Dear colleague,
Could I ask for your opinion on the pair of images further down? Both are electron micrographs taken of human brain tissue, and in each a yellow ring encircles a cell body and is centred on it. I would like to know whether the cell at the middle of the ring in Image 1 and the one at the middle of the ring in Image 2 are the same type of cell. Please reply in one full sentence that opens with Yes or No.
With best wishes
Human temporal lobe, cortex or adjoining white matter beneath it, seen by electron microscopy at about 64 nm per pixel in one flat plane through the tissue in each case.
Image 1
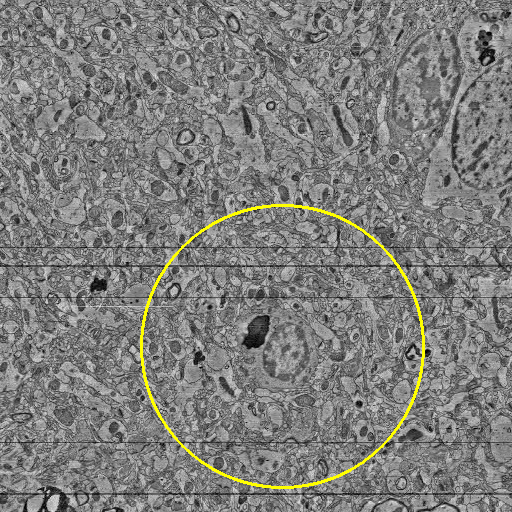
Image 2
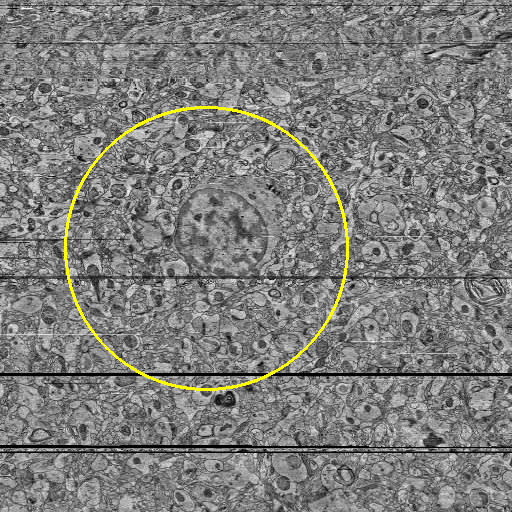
Yes, the cells at the ring centres in Image 1 and Image 2 are of one type.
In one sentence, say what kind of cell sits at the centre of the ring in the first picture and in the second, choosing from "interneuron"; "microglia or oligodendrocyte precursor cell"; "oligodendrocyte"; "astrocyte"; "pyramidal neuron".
Each of the two rings surrounds an oligodendrocyte.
